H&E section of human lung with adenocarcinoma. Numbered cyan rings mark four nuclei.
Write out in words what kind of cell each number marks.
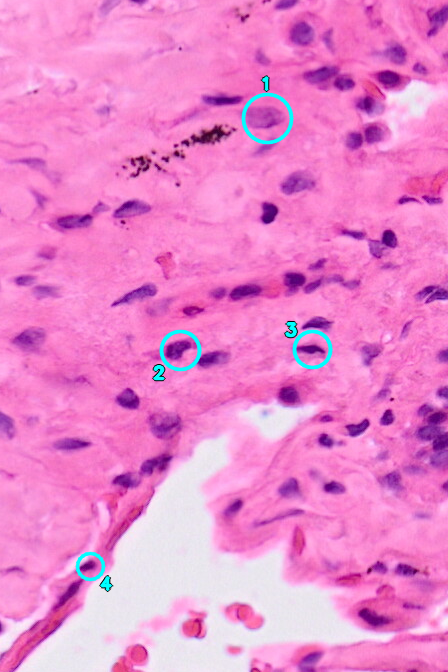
Cell 1 is a fibroblast, cell 2 is a plasma cell, cell 3 is a fibroblast and cell 4 is an endothelial cell.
